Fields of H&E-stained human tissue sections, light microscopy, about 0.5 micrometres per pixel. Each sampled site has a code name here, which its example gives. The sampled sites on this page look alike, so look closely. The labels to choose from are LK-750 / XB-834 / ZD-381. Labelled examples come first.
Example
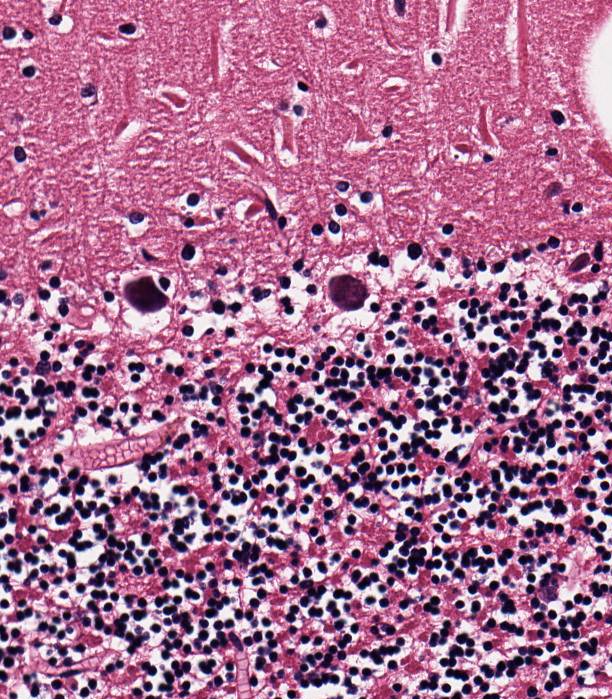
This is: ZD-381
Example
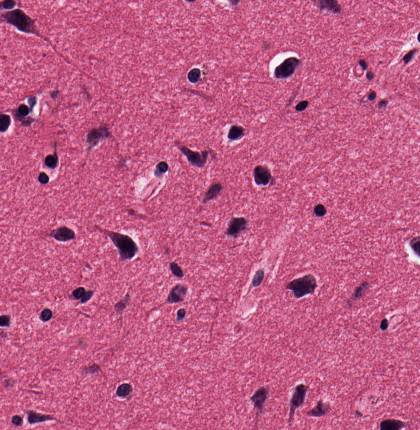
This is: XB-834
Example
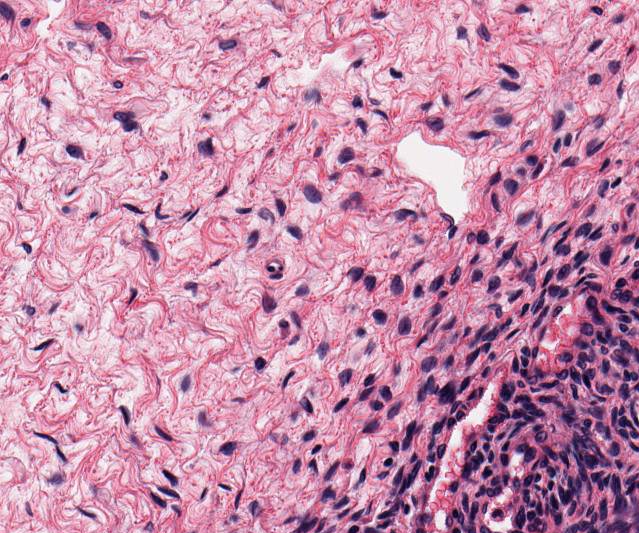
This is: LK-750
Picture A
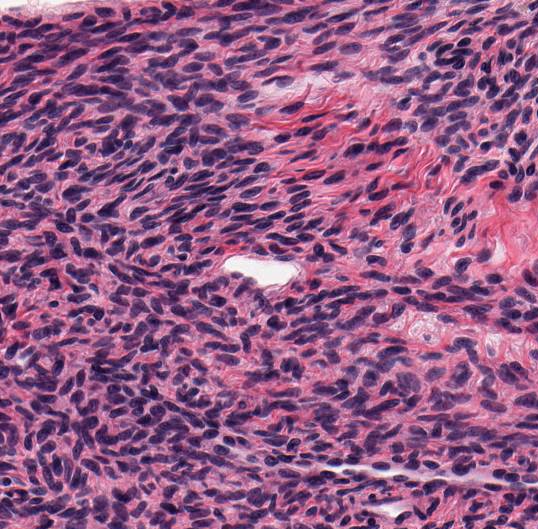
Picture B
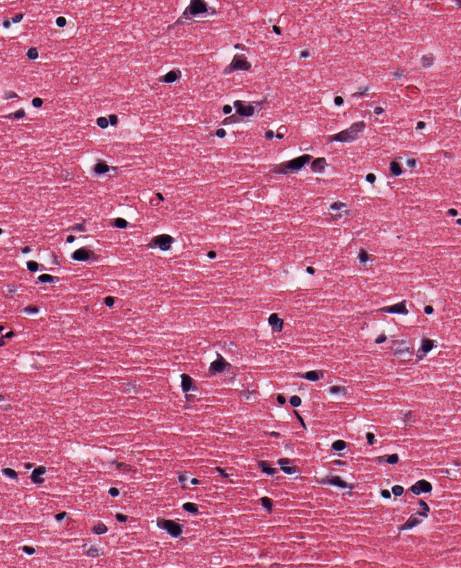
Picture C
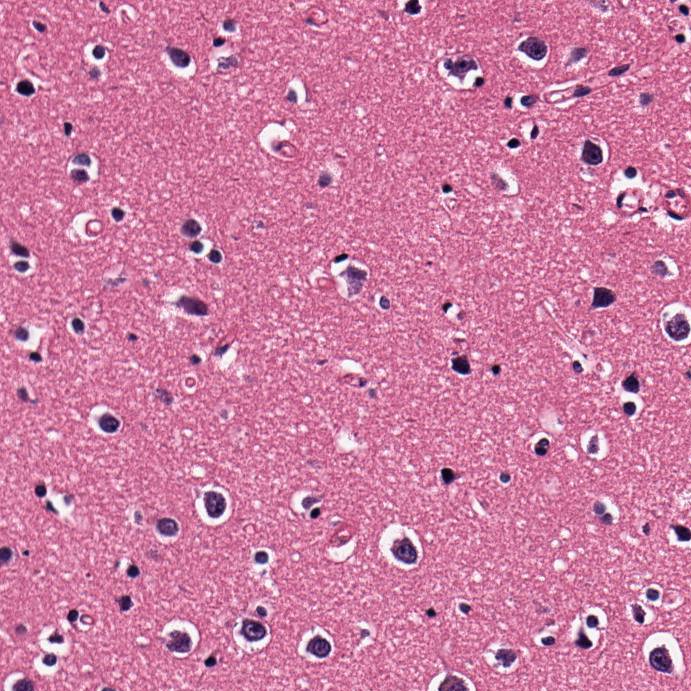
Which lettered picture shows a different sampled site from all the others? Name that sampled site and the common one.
A differs and shows LK-750; the others show XB-834.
